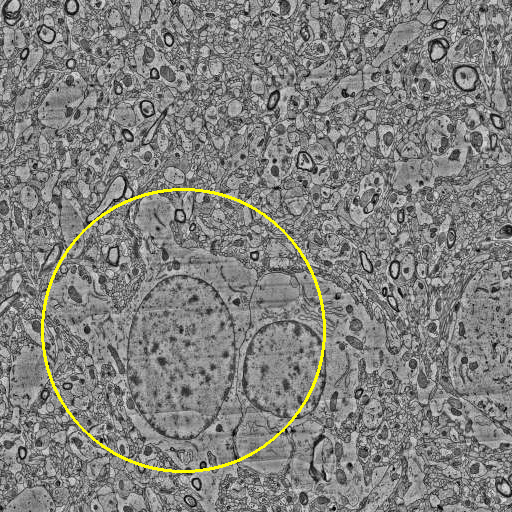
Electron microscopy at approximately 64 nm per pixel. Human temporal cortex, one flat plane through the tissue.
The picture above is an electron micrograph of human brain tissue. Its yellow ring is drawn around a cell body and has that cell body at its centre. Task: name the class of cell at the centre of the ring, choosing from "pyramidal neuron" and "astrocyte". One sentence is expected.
The ring surrounds the body of an astrocyte.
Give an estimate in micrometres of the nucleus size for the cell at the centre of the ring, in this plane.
In this plane the nucleus spans approximately 10 by 7 micrometers.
